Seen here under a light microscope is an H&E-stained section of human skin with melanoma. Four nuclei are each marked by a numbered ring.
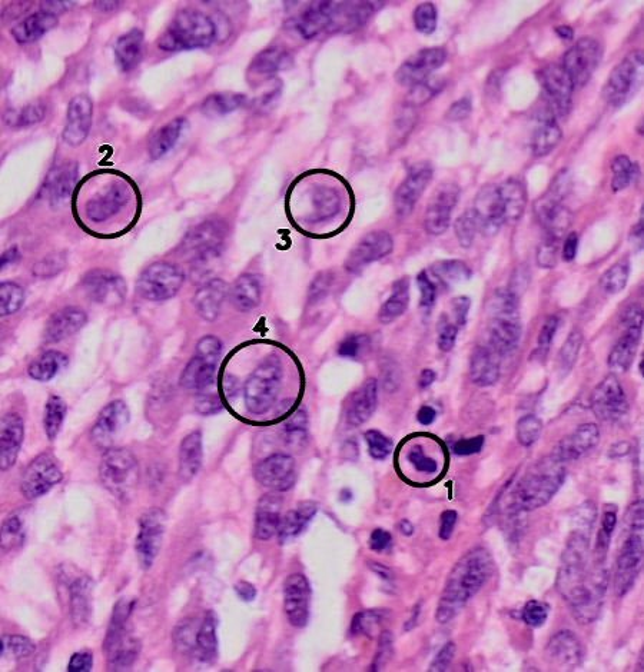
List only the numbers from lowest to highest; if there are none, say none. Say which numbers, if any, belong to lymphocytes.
1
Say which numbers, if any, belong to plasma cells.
none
